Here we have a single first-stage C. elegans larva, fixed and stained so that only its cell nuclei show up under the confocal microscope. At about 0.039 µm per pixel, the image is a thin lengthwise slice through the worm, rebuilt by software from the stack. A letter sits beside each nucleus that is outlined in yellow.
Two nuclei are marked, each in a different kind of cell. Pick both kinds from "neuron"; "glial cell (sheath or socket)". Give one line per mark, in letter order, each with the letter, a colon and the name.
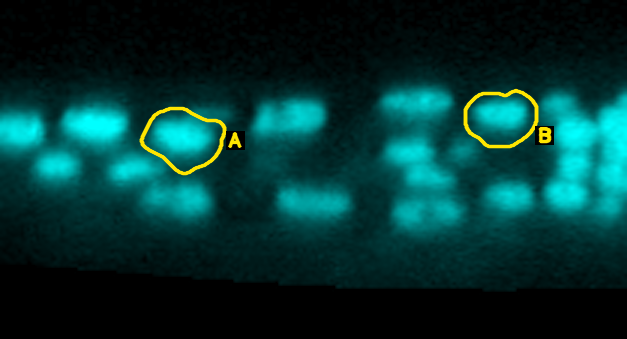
A: glial cell (sheath or socket)
B: neuron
